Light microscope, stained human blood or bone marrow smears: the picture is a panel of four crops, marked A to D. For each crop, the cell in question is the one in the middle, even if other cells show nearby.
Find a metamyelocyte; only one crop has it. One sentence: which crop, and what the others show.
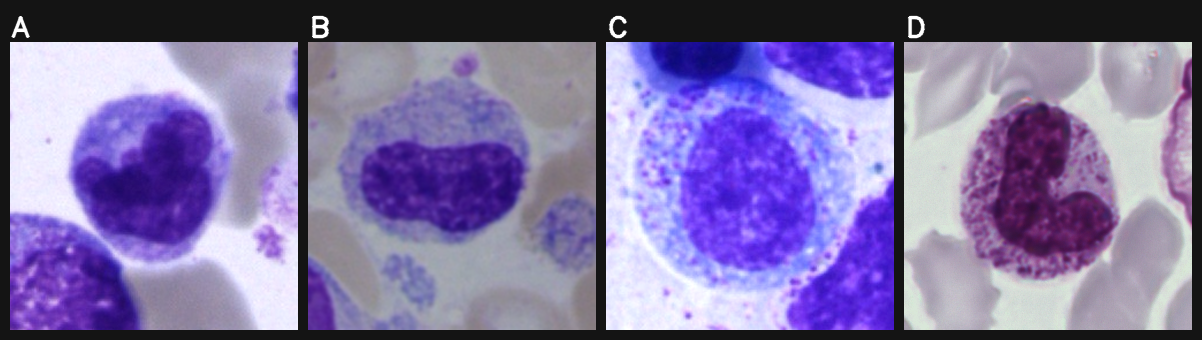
Summary: crop B shows a metamyelocyte, while crop A is a monocyte, crop C is a promyelocyte and crop D is a band neutrophil.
